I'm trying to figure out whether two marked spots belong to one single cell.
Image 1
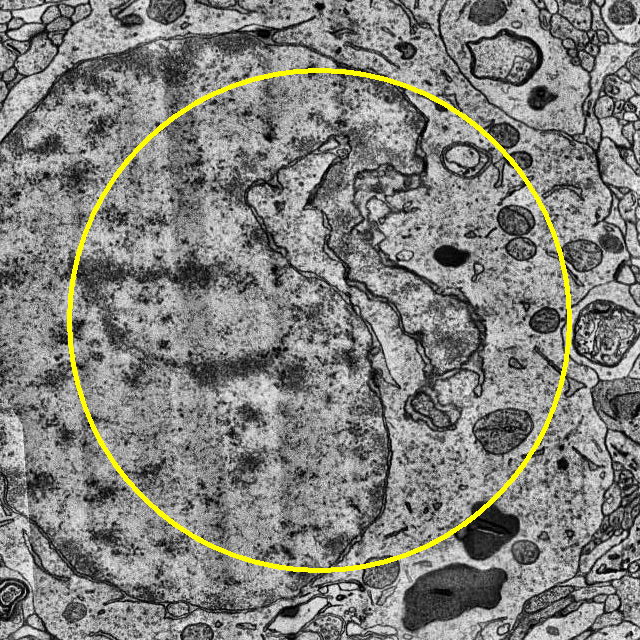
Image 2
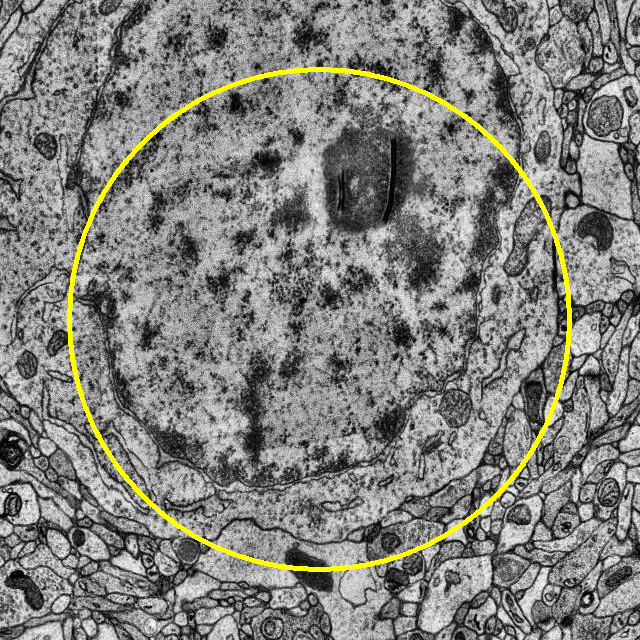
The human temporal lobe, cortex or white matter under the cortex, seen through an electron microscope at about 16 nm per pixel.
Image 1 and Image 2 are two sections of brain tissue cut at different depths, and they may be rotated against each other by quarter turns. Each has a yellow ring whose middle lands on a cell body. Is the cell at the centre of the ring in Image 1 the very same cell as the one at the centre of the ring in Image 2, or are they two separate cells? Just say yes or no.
no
